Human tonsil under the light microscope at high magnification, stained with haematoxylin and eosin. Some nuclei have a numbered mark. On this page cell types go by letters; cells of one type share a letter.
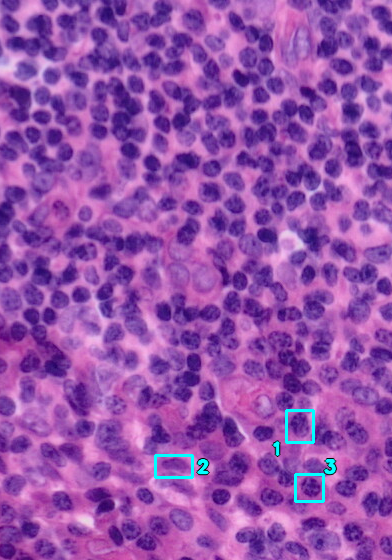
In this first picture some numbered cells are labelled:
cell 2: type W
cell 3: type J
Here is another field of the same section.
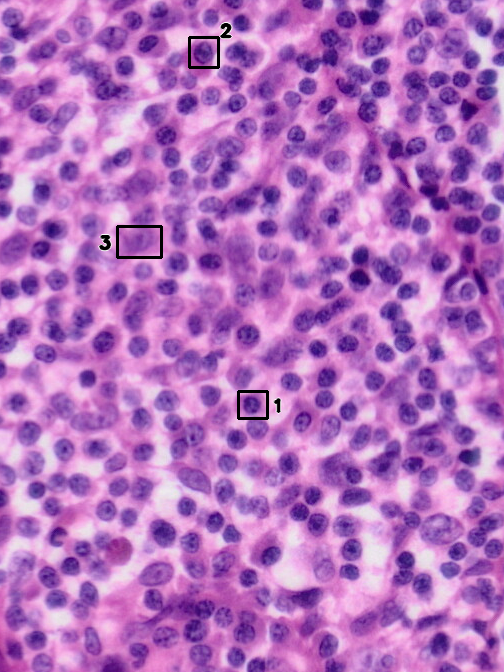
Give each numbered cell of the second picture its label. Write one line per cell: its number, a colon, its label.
1: type J
2: type J
3: type W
